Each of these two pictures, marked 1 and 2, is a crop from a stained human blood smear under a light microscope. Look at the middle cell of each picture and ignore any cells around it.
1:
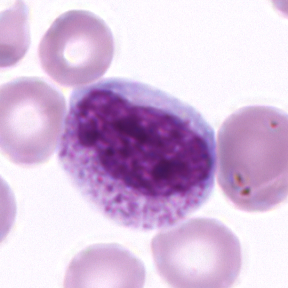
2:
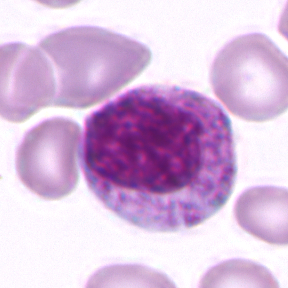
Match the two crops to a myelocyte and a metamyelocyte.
1: metamyelocyte
2: myelocyte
